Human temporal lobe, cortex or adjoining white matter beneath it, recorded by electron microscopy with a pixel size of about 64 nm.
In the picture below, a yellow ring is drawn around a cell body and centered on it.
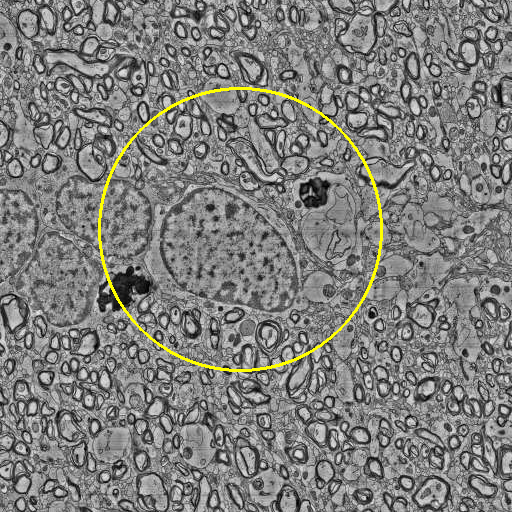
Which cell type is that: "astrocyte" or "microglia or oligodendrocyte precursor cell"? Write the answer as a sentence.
The cell centered in the ring is a microglial cell or oligodendrocyte precursor cell.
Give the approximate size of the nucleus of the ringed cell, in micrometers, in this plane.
In this plane, approximately 9 by 7 micrometers.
